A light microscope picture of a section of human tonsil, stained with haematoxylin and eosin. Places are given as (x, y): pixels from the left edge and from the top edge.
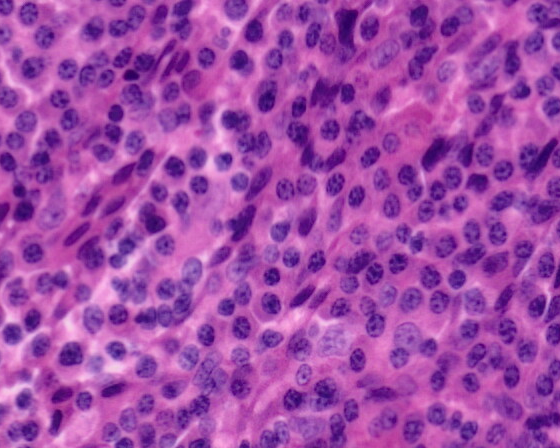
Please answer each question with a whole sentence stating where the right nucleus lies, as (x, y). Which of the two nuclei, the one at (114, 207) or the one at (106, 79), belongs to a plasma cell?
Between the pair, the nucleus at (106, 79) belongs to a plasma cell.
